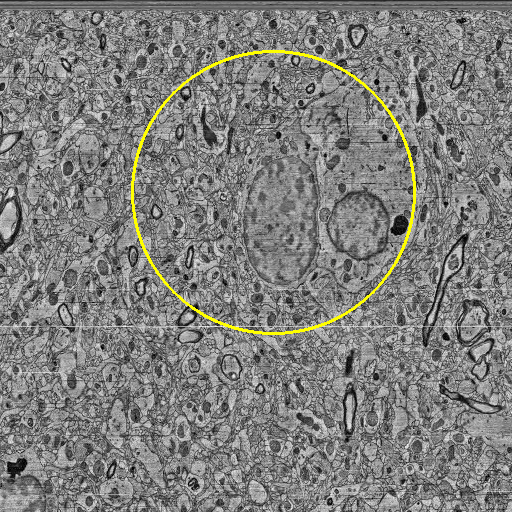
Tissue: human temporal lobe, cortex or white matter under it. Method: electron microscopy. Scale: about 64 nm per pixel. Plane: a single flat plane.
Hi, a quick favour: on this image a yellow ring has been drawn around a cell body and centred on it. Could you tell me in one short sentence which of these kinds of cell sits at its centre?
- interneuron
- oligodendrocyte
The ring is centred on an oligodendrocyte.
